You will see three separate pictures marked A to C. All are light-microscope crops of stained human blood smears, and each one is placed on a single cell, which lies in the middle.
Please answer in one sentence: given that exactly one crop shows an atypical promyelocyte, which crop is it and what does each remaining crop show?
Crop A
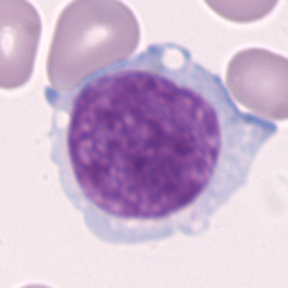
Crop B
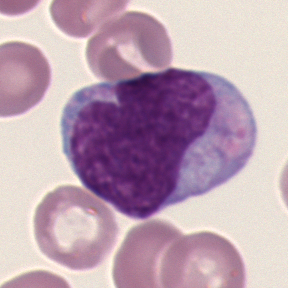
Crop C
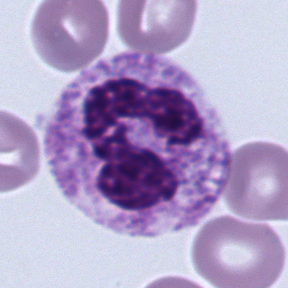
Placed in the middle of crop B is an atypical promyelocyte, while crop A is a myeloblast and crop C is a segmented neutrophil.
